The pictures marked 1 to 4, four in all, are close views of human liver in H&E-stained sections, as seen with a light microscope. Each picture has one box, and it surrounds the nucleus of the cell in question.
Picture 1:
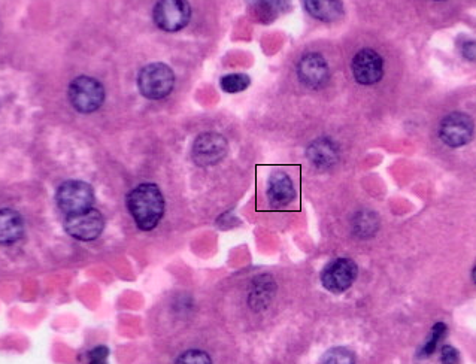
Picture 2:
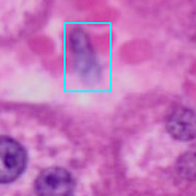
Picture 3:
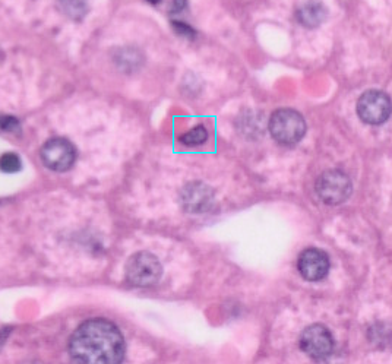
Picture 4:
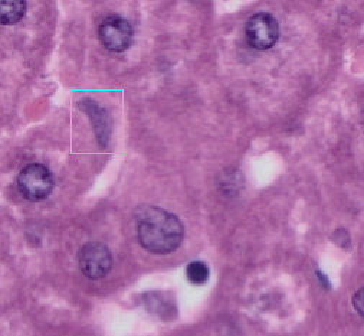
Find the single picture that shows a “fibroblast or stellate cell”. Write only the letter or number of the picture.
3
